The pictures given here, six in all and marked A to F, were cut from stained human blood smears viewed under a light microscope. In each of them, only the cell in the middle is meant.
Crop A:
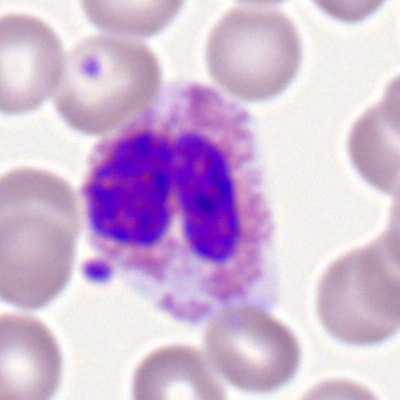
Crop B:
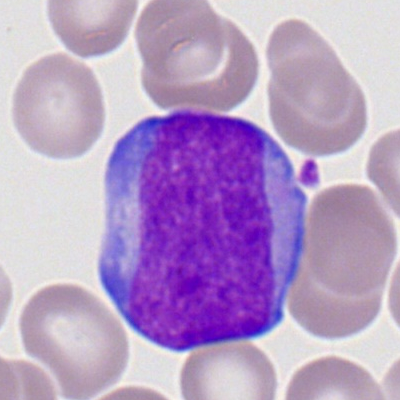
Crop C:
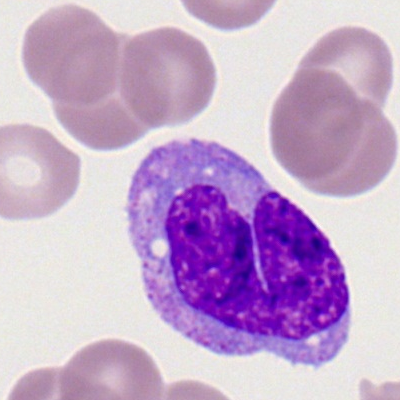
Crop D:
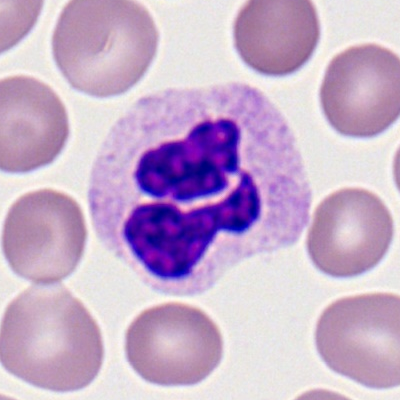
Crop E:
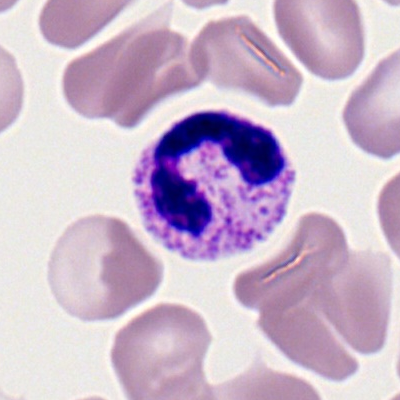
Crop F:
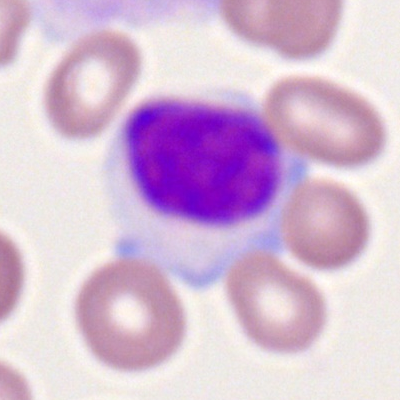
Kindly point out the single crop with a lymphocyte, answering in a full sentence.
Of all the crops, crop F is the one showing a lymphocyte.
